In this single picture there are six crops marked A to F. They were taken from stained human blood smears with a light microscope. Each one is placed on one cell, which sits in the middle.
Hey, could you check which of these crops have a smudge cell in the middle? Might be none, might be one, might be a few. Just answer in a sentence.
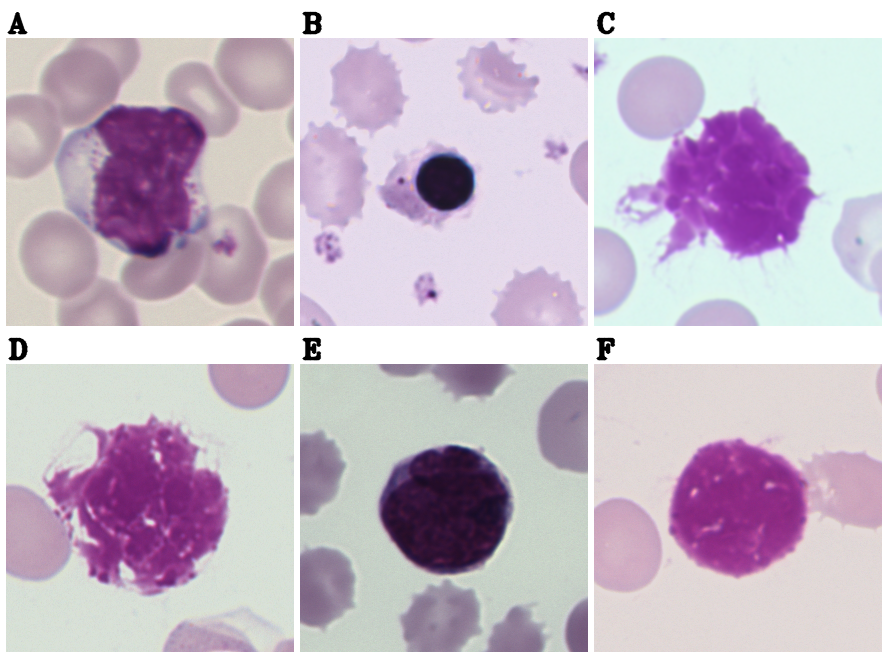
The cells in the middle of crops C, D and F are smudge cells.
